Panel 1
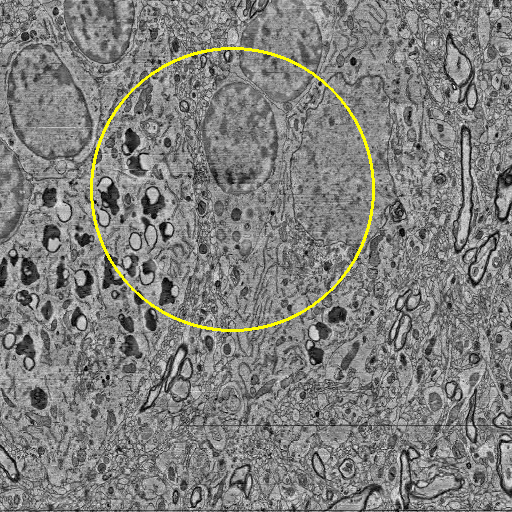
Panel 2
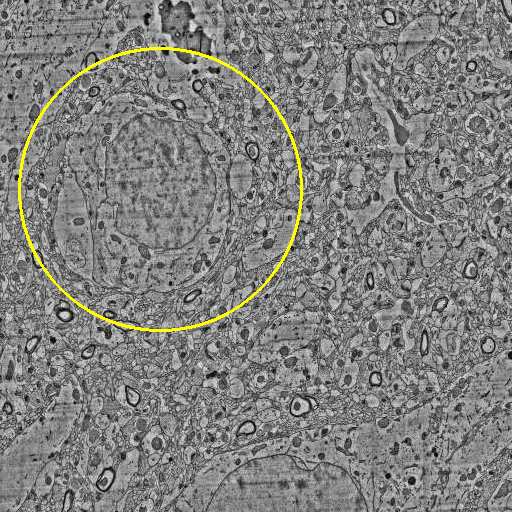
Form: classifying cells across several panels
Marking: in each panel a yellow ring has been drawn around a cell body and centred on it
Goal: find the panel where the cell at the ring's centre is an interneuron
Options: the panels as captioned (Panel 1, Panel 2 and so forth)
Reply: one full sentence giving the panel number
Panel 2 shows the wanted cell at the centre of its ring.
